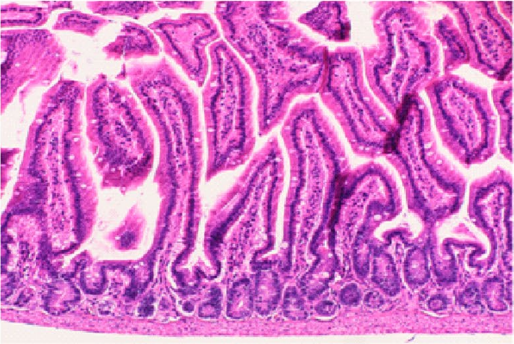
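This section of small intestine shows a mucosa with many tall, slender, finger-like villi standing close together and reaching into the lumen. Each villus is covered by a single layer of columnar epithelial cells with purple nuclei lined up near the base, around a pink connective tissue core. At the bottom of the mucosa lie small glandular crypts, and beneath them a thin pink band of muscle.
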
